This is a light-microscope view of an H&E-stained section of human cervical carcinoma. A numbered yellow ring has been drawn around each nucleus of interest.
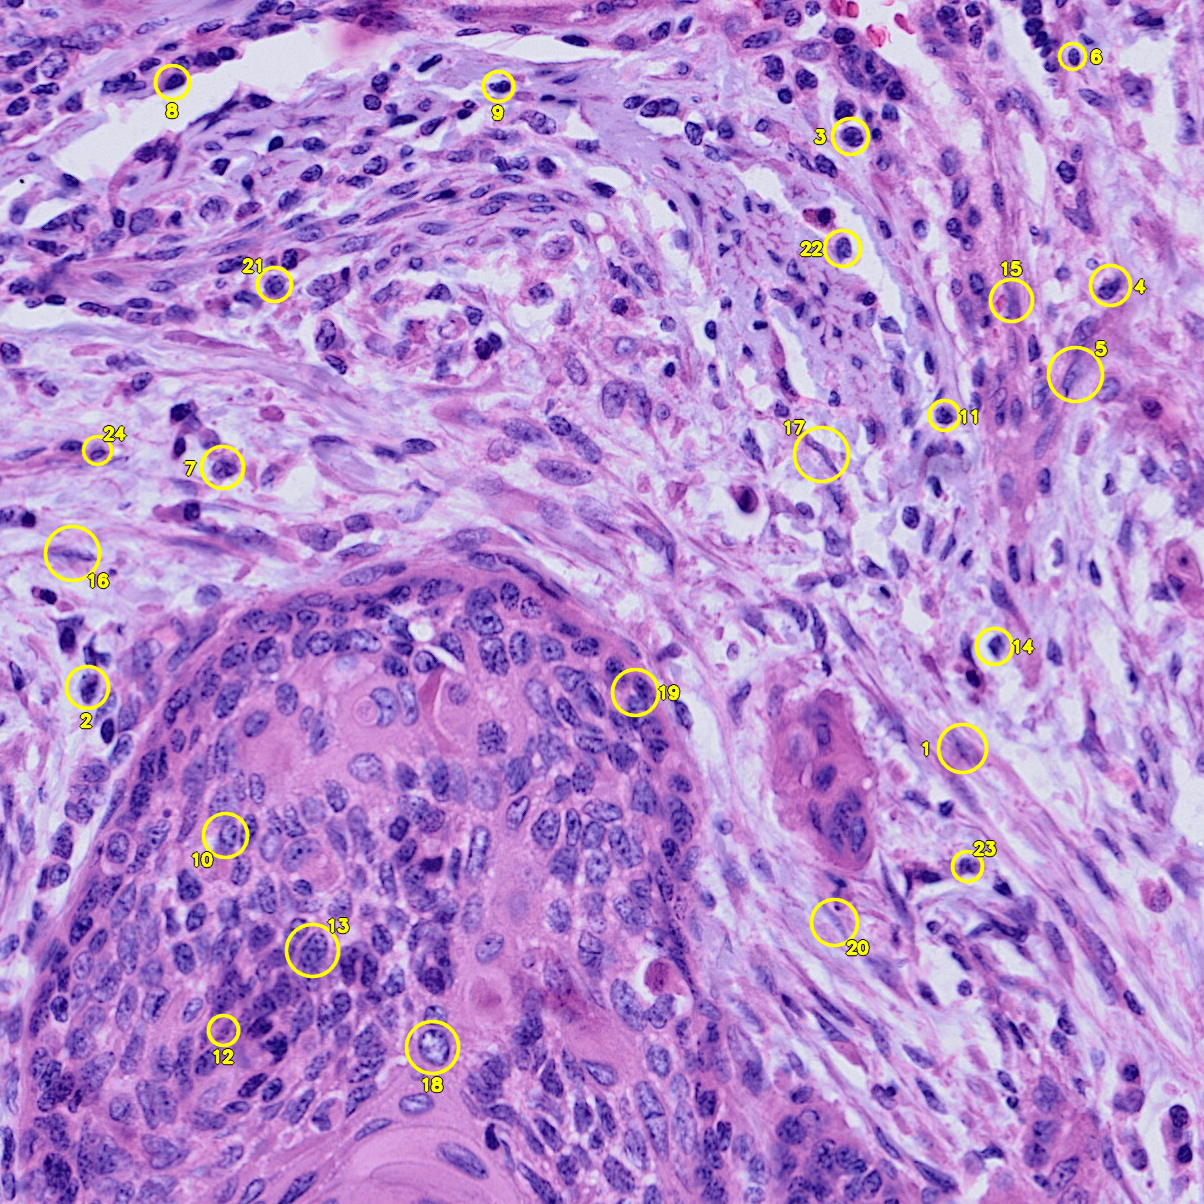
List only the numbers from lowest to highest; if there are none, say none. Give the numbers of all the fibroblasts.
1, 16, 17, 20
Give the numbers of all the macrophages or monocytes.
7, 24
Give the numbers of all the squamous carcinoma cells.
10, 12, 13, 18, 19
